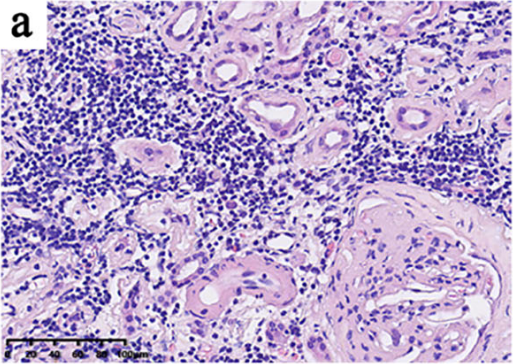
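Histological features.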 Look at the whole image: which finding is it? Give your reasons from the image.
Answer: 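Sheets of small round dark-blue nuclei fill the spaces between tubules. The infiltrate occupies much of the upper left of the field.
Interstitial inflammatory cell infiltration.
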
